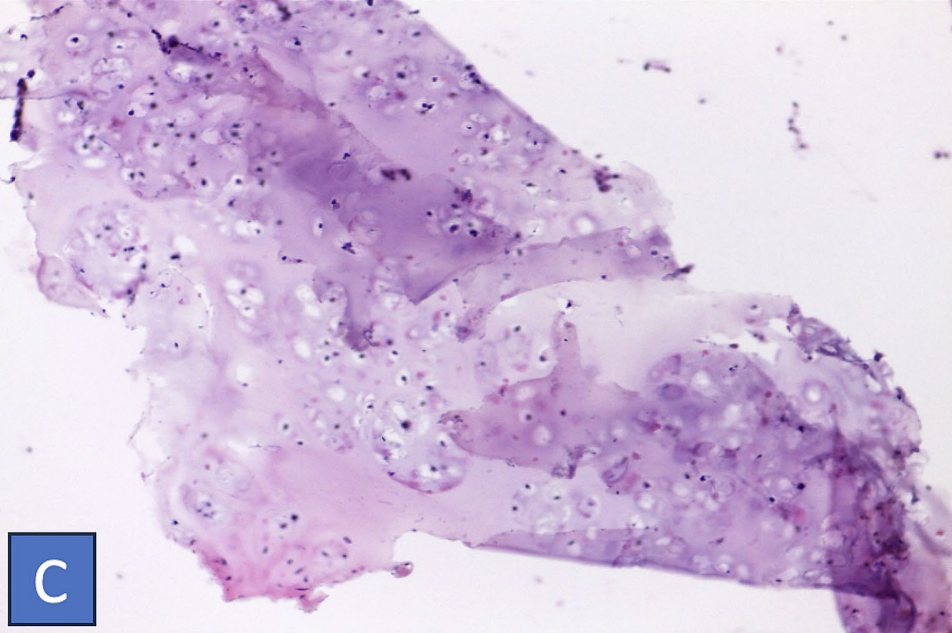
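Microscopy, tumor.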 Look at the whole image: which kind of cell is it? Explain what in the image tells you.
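Rounded cells with dark small nuclei lying in clear lacunar spaces. Cells embedded in a homogeneous pale matrix. So: chondrocytes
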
